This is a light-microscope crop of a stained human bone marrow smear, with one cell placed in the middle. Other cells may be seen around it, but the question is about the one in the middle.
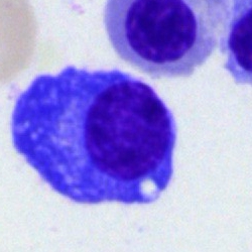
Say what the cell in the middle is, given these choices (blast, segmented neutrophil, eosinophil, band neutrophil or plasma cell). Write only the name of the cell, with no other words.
plasma cell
